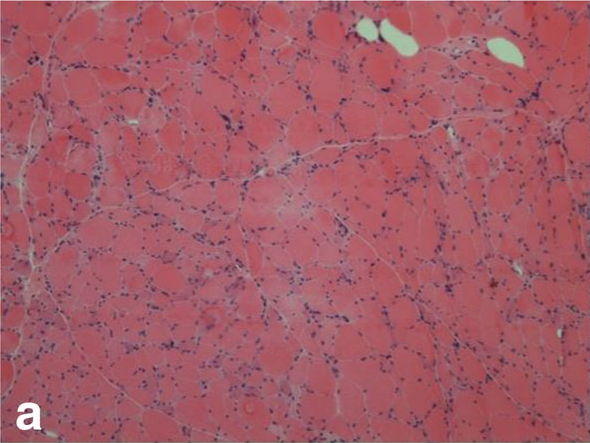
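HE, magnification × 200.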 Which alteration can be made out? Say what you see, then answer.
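Fiber profiles range from large to very small. On this evidence: variable size and irregular shape.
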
